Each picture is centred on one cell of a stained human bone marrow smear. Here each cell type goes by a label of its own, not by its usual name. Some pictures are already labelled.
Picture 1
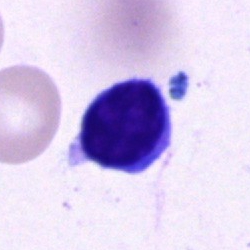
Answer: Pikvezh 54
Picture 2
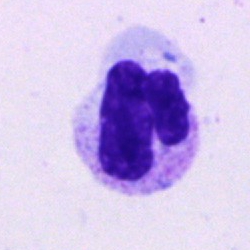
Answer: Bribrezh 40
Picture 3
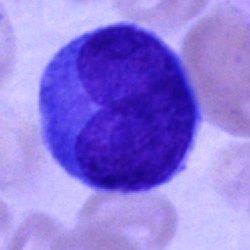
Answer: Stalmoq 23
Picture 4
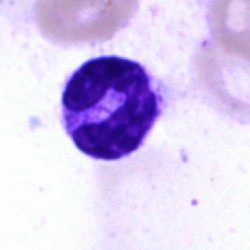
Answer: Bribrezh 40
